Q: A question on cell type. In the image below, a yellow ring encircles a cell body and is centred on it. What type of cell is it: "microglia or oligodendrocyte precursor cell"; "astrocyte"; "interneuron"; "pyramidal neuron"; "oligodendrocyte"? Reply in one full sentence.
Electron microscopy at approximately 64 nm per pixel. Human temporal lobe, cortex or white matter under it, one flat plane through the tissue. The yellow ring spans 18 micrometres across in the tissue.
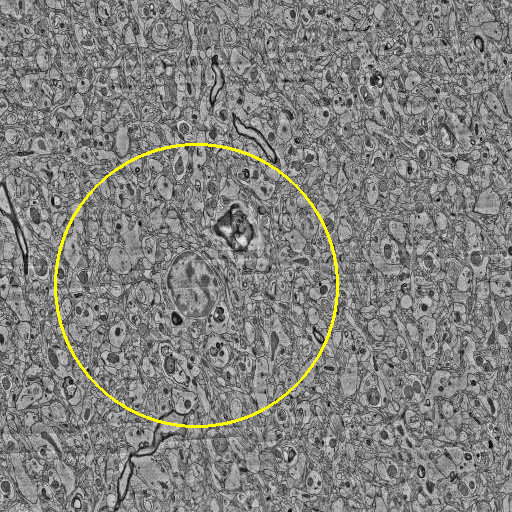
It is a microglial cell or oligodendrocyte precursor cell whose cell body sits at the centre of the yellow ring in the image.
